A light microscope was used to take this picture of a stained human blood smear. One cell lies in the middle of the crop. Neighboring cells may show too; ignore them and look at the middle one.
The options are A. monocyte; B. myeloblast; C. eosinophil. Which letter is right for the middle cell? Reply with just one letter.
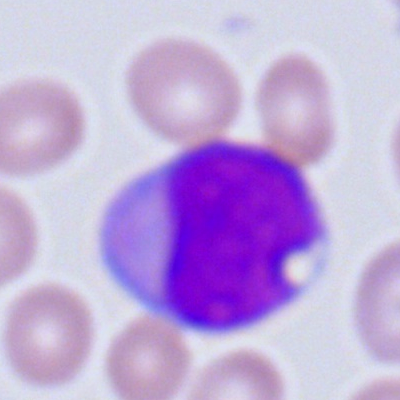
B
